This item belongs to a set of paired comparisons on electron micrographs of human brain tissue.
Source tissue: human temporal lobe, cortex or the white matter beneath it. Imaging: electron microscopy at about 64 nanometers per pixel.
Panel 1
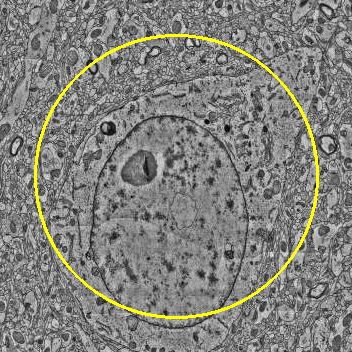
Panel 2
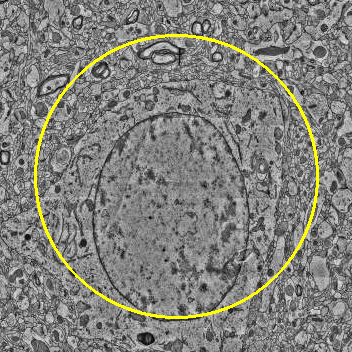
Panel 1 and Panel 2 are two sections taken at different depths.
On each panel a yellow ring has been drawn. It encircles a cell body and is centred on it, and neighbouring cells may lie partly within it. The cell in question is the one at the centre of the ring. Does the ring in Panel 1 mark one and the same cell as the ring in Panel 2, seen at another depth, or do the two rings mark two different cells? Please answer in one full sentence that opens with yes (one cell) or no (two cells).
Yes, a single cell lies behind both yellow marks.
